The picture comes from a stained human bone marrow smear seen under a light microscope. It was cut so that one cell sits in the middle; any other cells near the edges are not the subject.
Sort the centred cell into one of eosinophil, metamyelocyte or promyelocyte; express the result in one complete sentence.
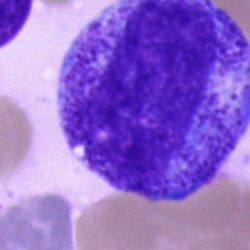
Looking at the middle of the crop, the cell there is a promyelocyte.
